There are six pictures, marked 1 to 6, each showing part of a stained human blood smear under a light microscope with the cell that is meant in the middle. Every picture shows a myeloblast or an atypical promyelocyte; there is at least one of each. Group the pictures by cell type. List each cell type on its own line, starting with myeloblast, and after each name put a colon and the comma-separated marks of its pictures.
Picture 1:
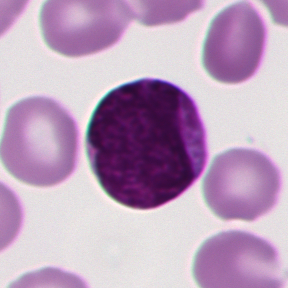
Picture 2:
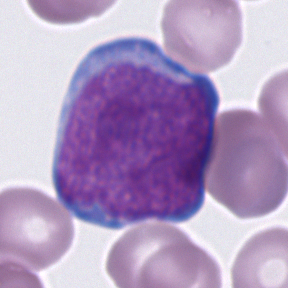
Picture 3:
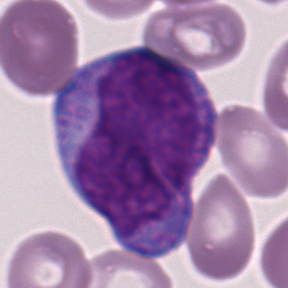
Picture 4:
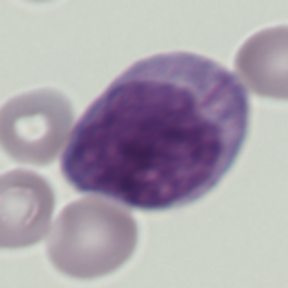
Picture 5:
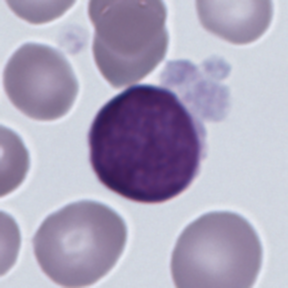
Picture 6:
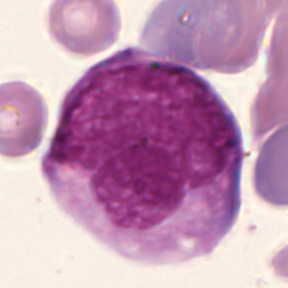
myeloblast: 1, 2, 5
atypical promyelocyte: 3, 4, 6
